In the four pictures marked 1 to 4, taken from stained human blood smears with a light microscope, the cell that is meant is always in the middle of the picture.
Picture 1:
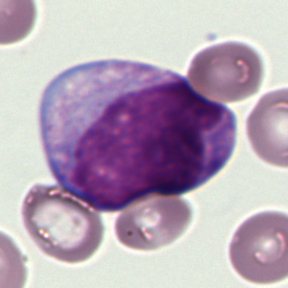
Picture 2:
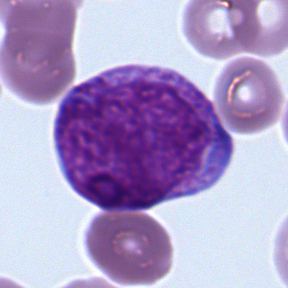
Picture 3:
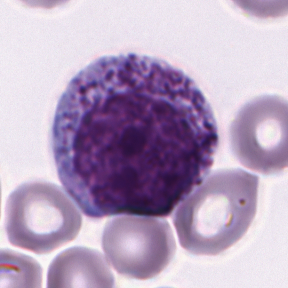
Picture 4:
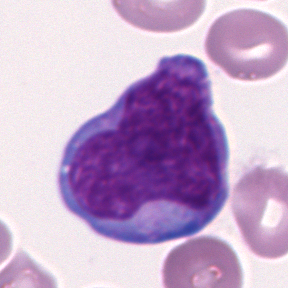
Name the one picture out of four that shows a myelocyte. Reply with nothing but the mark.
3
